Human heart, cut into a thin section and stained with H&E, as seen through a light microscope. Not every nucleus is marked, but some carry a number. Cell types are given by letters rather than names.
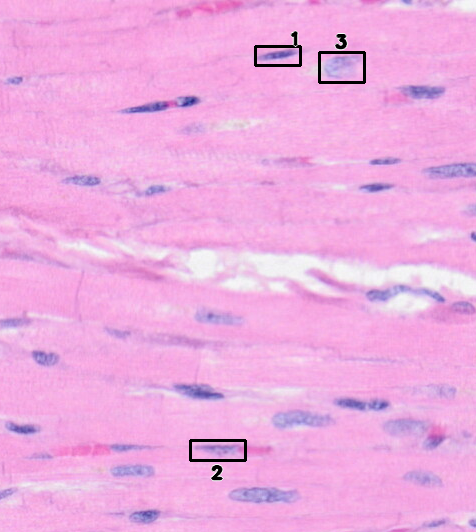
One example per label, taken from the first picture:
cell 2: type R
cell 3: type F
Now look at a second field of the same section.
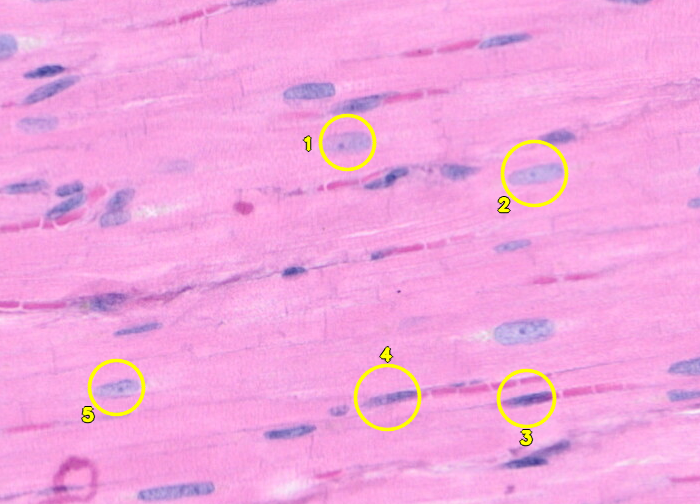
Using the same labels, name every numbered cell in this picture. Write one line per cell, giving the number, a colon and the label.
1: type F
2: type F
3: type R
4: type R
5: type F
